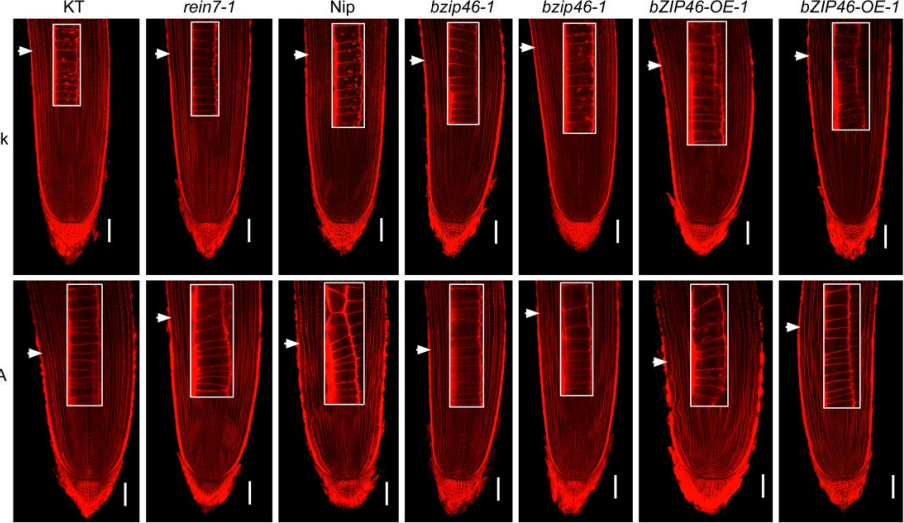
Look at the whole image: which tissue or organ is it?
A: root tips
